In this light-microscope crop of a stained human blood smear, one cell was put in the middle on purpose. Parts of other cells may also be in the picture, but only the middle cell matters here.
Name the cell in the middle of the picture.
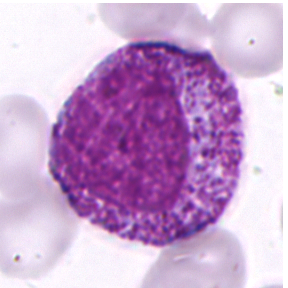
promyelocyte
